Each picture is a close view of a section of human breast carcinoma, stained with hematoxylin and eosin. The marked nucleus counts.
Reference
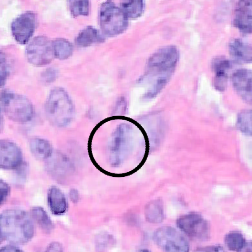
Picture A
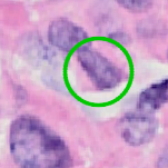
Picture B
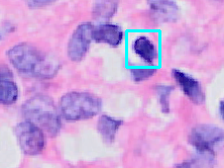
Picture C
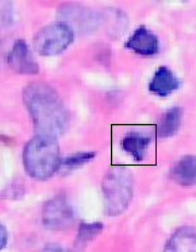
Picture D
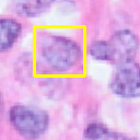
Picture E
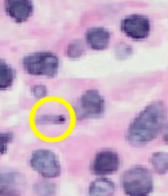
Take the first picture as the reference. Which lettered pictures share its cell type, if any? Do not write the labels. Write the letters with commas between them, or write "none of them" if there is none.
none of them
